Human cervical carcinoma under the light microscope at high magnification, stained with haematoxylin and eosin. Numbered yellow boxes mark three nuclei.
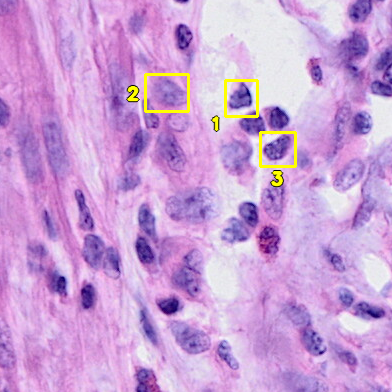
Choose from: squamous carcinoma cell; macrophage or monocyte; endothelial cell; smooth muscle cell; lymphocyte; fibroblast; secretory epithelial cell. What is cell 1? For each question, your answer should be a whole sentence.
The cell referenced by the number 1 is a lymphocyte in this field.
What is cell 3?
The nucleus with number 3 is that of a lymphocyte.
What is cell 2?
The mark numbered 2 indicates the nucleus of an endothelial cell.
